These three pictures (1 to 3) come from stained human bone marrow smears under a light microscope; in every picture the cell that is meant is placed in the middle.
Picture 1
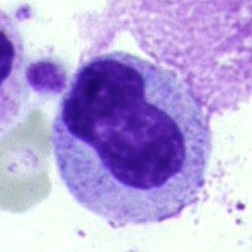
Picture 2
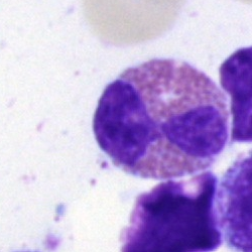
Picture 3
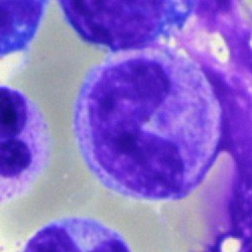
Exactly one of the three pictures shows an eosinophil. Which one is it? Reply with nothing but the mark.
2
